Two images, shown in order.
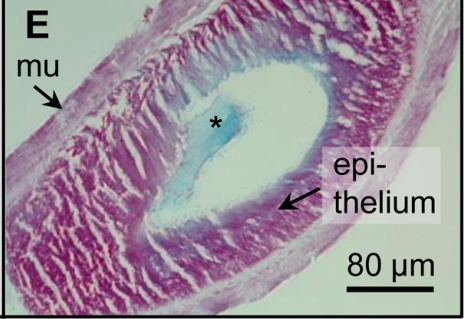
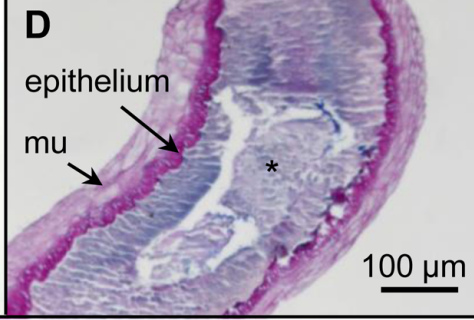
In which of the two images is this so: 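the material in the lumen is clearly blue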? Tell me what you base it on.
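The first image. First image: the luminal material at the asterisk is a distinct light blue-green. Second image: the luminal material is a pale greyish blue with mauve tones, not a clear blue.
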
